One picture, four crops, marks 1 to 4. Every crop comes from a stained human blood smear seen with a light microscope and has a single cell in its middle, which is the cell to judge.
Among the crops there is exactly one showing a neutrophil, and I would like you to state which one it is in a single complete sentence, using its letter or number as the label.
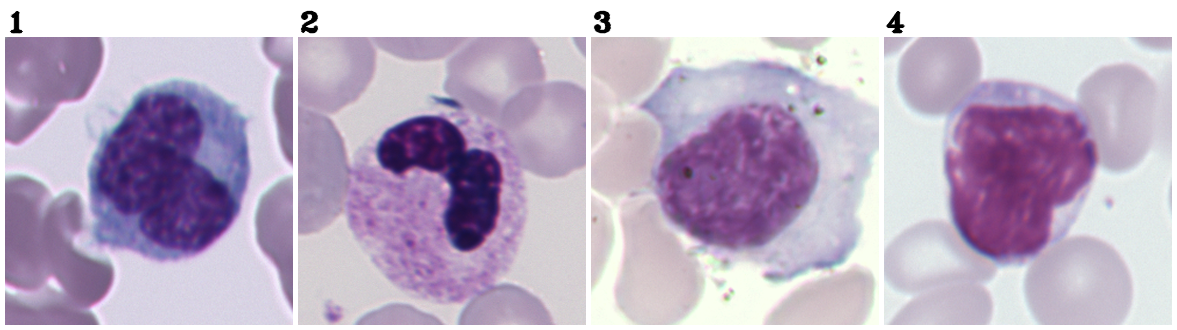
Crop 2 is the right one; it is the crop showing a neutrophil.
